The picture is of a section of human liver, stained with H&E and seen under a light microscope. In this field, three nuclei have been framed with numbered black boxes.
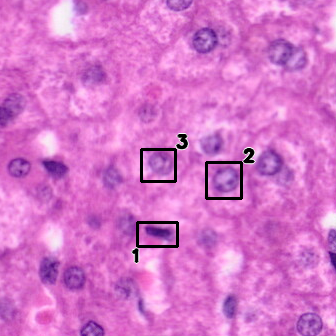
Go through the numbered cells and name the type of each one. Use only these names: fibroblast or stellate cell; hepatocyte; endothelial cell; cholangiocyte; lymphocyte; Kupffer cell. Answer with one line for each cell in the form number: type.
1: endothelial cell
2: hepatocyte
3: hepatocyte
